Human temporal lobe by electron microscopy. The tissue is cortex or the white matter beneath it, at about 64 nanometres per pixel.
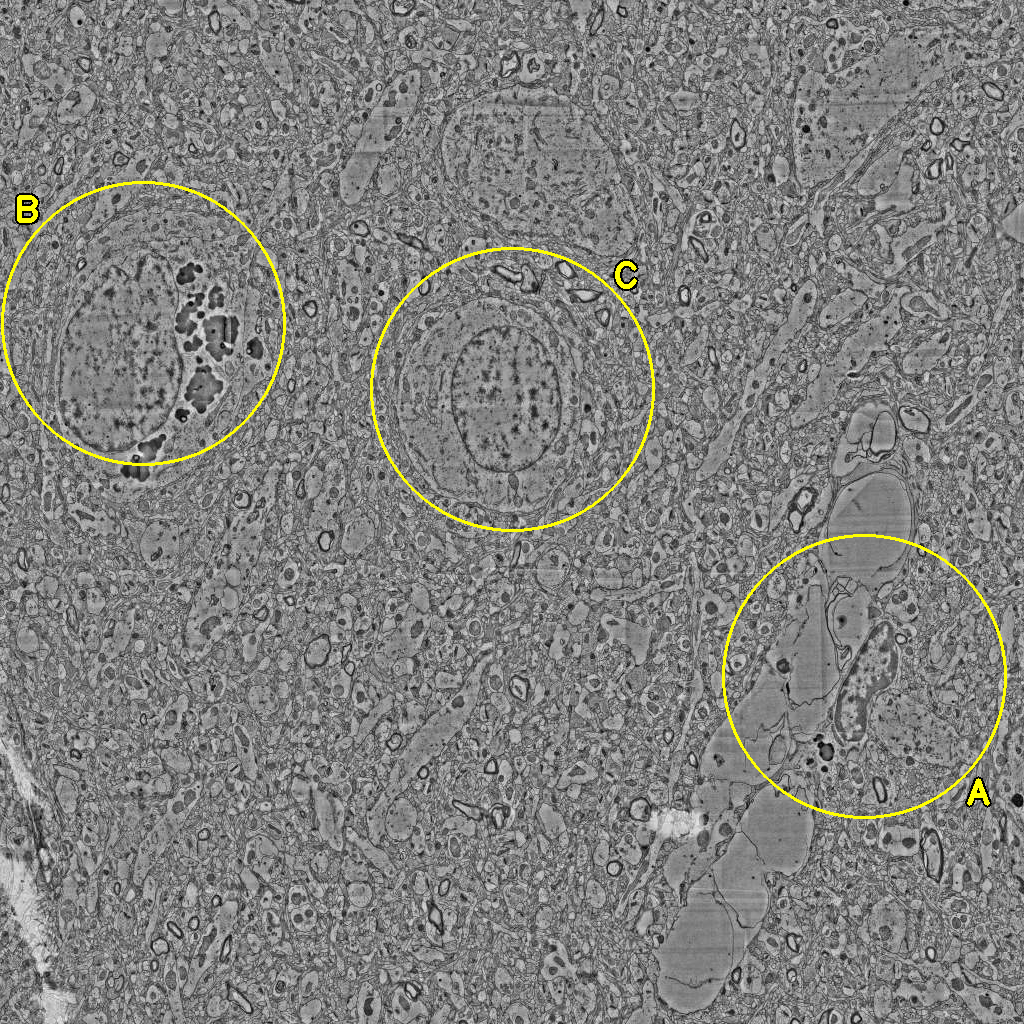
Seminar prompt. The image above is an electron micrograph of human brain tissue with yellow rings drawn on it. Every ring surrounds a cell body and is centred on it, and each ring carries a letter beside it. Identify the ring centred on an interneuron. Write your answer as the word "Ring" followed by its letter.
Ring B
